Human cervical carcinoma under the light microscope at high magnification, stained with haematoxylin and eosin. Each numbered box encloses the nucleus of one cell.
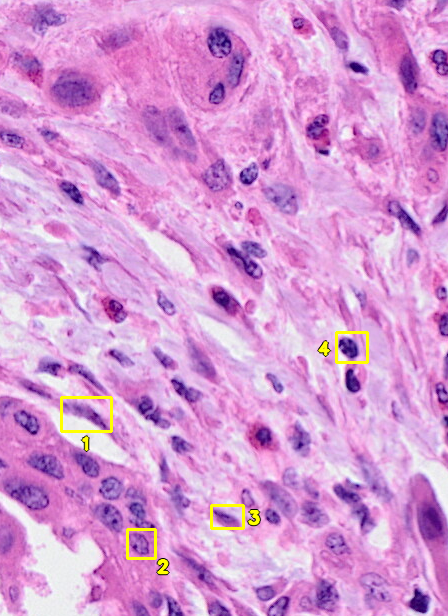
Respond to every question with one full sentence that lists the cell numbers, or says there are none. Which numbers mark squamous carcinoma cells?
Cell 2 is a squamous carcinoma cell, while all remaining marked cells are of other types.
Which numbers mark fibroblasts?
Cells 1 and 3 in the section are typed as fibroblasts.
